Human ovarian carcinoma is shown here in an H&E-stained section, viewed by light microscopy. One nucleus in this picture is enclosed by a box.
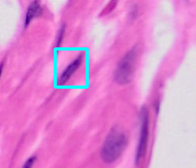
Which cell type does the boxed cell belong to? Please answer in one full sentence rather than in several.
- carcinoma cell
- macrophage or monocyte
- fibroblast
By cell type, the boxed cell is a fibroblast.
